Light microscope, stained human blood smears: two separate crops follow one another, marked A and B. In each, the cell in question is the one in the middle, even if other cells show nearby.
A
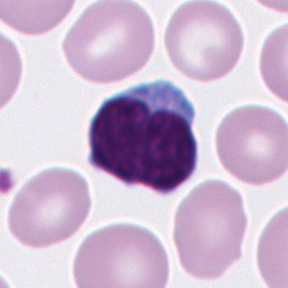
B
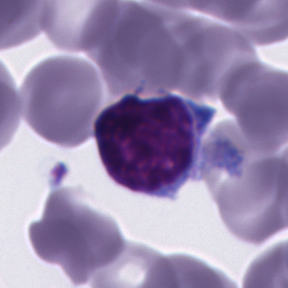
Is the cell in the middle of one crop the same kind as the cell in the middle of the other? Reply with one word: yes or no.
yes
